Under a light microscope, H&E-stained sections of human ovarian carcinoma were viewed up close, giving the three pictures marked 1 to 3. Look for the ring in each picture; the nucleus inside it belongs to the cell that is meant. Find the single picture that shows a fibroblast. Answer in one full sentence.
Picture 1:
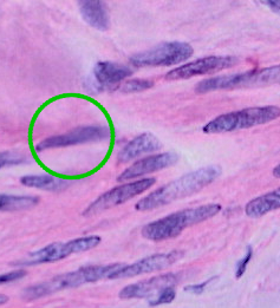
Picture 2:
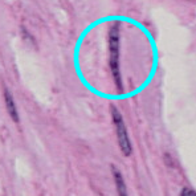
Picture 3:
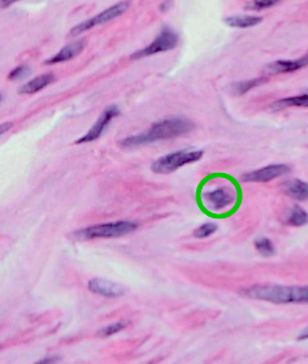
Picture 2 shows the fibroblast.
